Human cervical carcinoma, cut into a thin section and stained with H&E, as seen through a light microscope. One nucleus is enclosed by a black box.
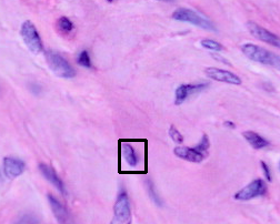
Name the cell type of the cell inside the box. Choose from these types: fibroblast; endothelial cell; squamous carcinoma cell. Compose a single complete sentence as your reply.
The cell type of the cell inside the box is that of a fibroblast.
